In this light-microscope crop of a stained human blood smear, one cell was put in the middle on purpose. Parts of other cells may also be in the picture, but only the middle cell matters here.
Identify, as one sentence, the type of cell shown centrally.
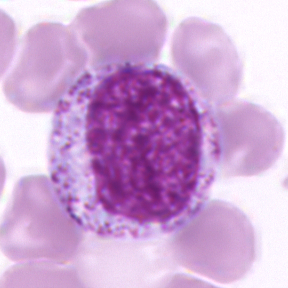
Seen at the centre of the crop is a myelocyte.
